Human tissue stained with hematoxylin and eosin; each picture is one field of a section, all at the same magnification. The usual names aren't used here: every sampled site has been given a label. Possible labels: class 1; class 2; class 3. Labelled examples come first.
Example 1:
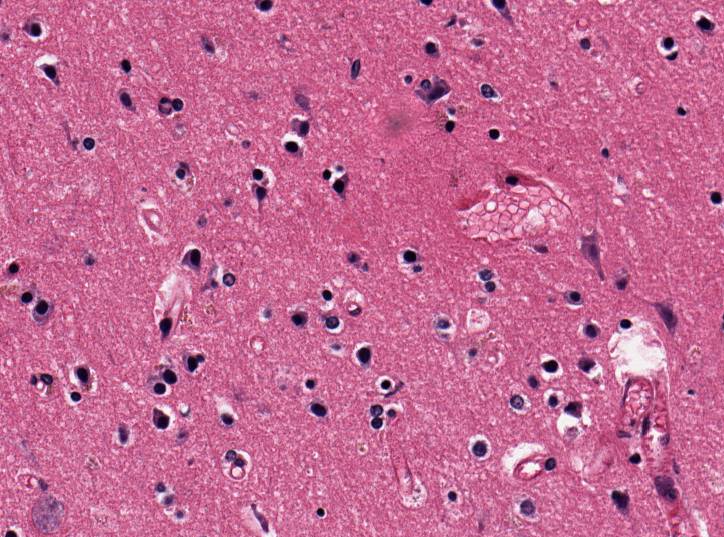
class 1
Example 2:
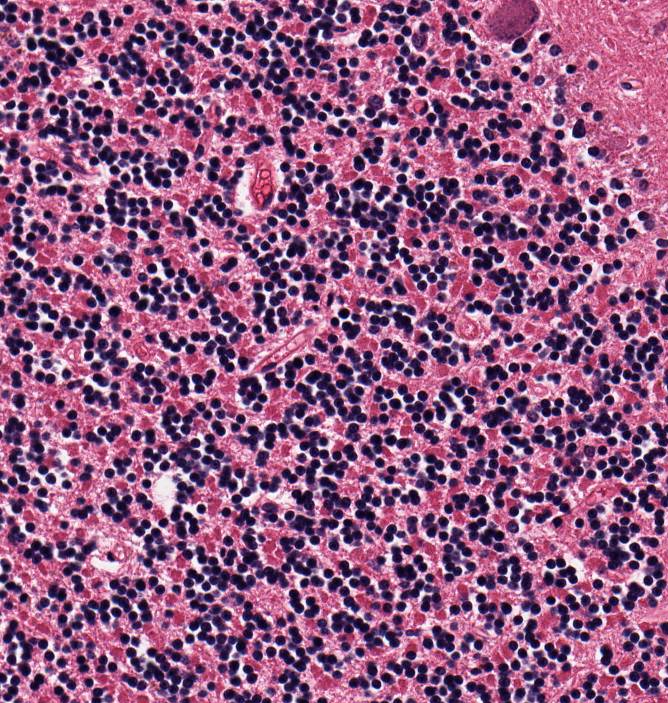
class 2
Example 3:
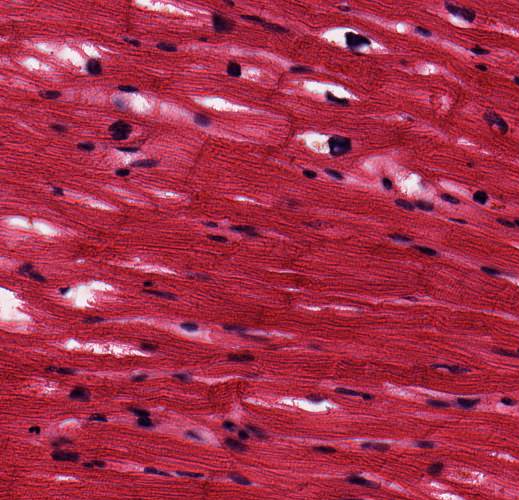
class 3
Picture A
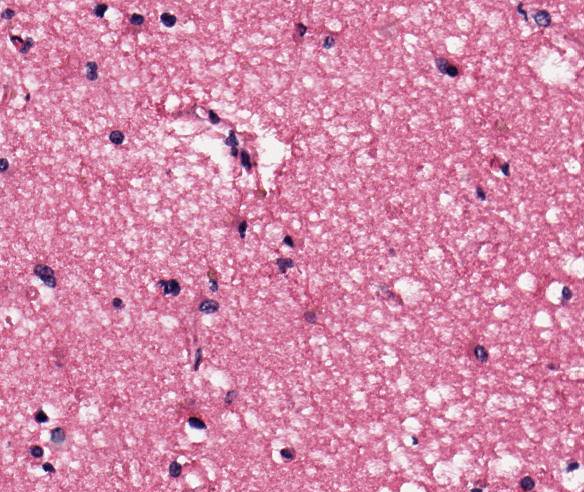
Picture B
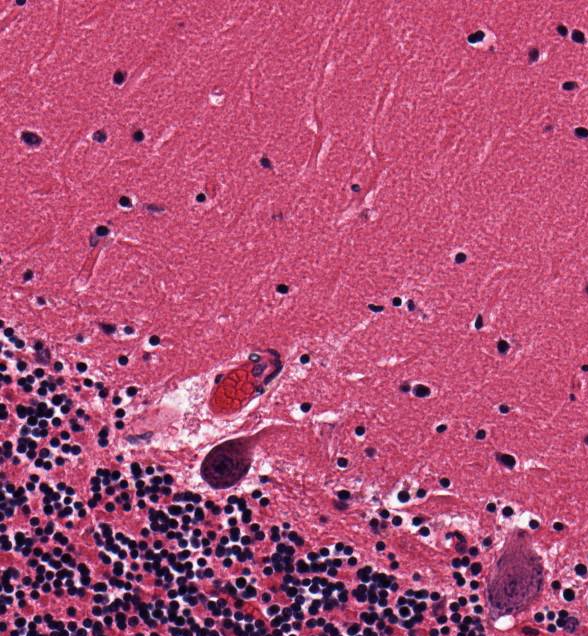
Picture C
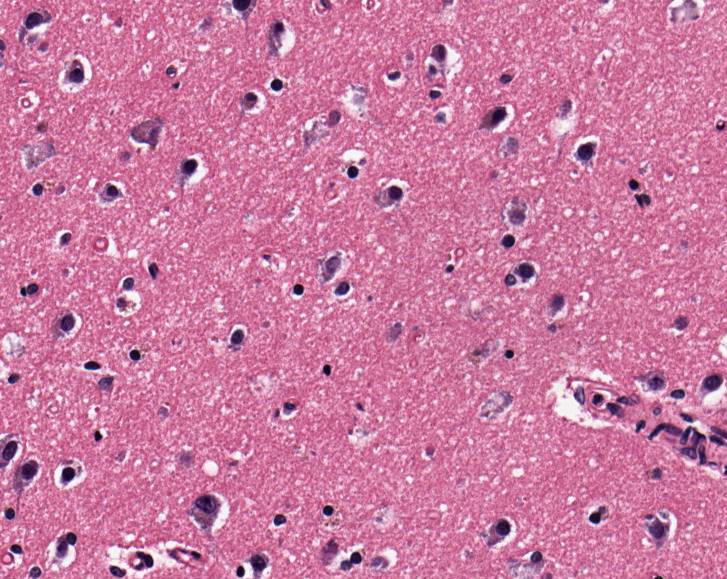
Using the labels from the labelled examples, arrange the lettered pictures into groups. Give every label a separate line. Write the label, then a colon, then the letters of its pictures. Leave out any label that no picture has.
class 1: A, C
class 2: B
